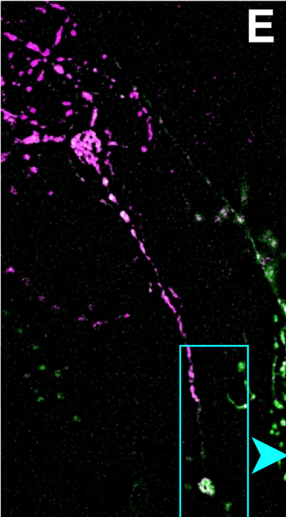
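A cultured neuron with magenta, beaded puncta filling its soma and branching processes, and a chain of magenta puncta extending down the axon. Along the axon lies a round swelling, a spheroid, whose content appears whitish from mixed magenta and green, with further green puncta scattered beyond it and to the right.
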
